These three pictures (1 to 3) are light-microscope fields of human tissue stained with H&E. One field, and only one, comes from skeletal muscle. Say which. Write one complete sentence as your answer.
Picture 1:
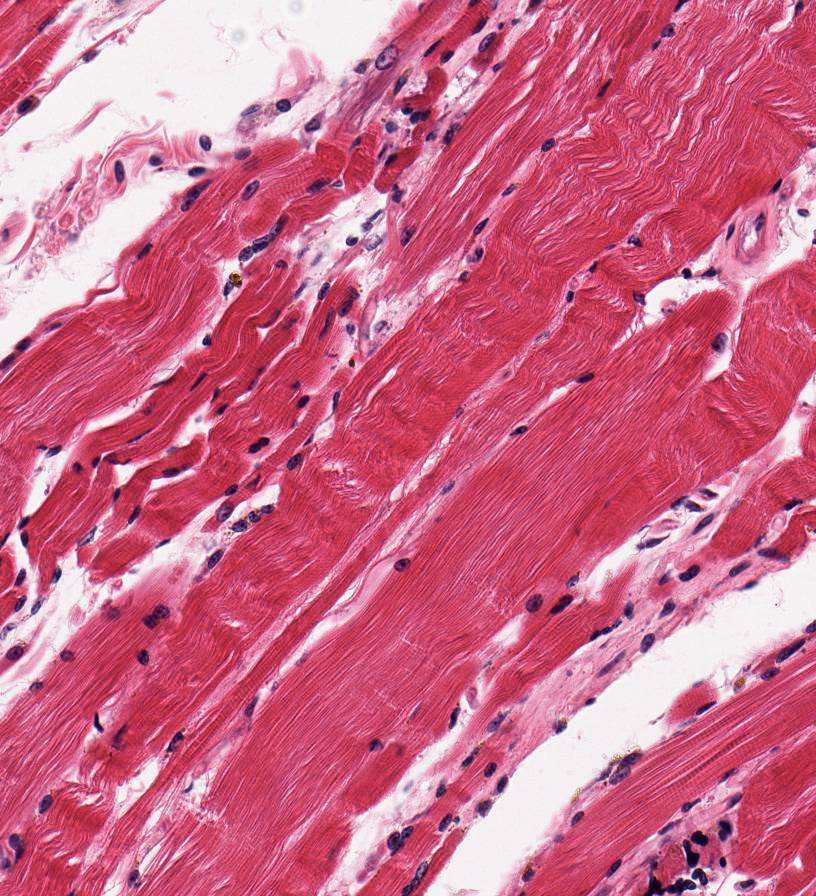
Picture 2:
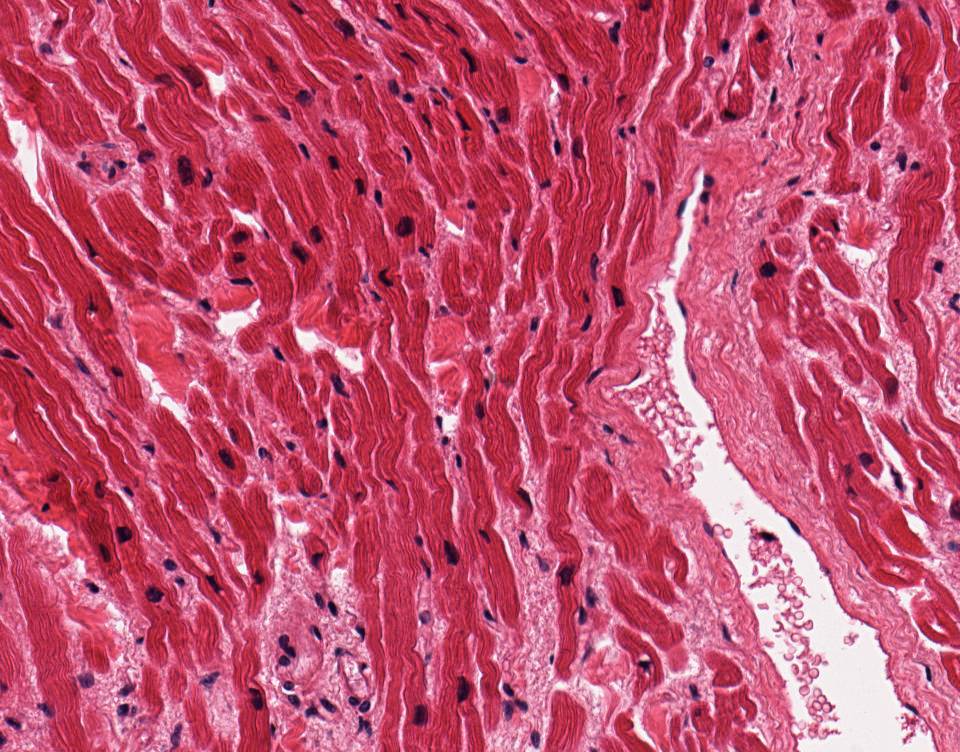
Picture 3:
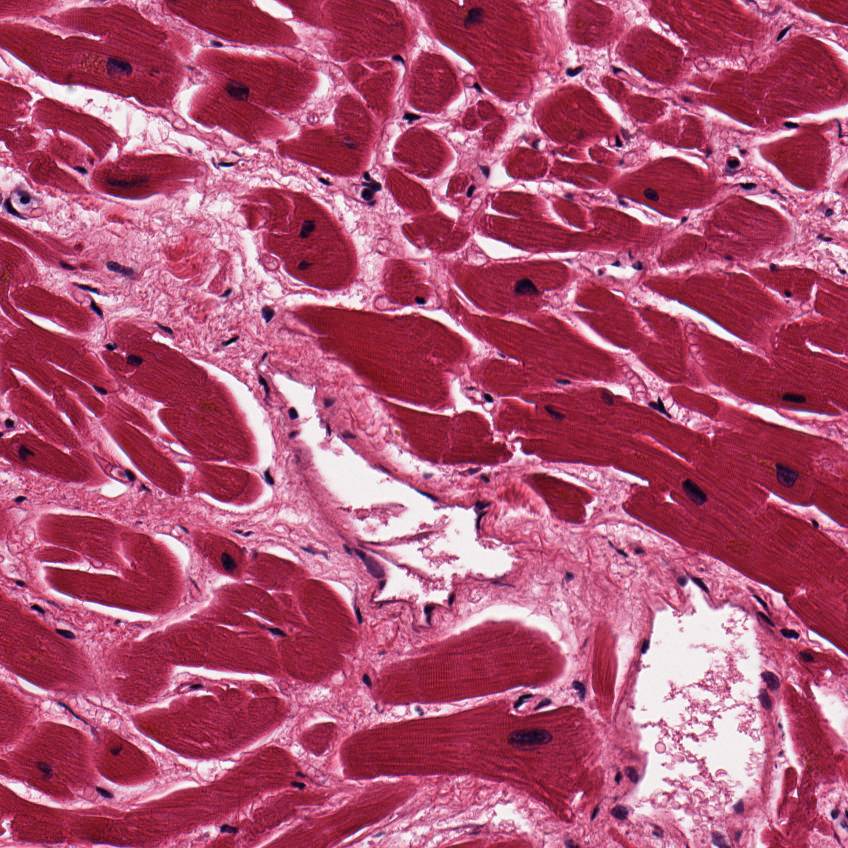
Picture 1 is the field that comes from skeletal muscle.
